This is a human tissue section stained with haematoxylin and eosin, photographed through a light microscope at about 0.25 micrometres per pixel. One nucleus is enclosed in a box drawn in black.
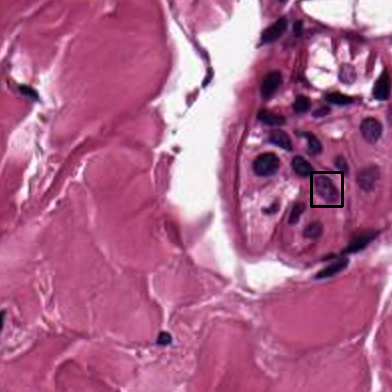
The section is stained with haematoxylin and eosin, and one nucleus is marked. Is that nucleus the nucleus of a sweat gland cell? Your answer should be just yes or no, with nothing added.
yes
